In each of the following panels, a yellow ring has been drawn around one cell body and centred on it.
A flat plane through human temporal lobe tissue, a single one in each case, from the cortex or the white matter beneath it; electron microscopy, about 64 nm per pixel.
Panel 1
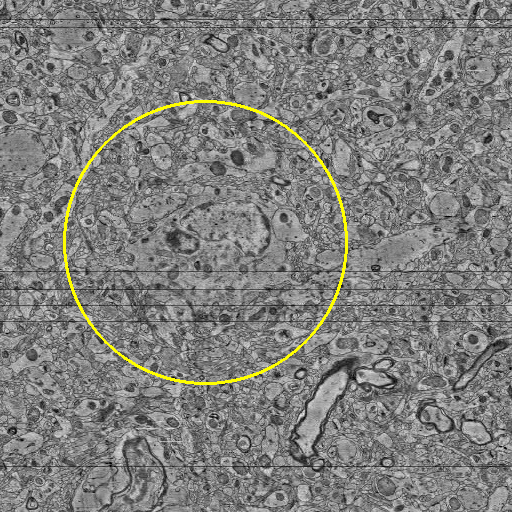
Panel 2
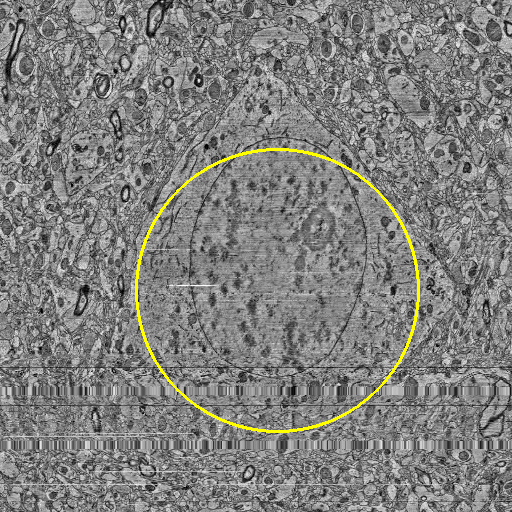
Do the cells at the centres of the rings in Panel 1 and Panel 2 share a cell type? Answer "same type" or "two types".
two types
